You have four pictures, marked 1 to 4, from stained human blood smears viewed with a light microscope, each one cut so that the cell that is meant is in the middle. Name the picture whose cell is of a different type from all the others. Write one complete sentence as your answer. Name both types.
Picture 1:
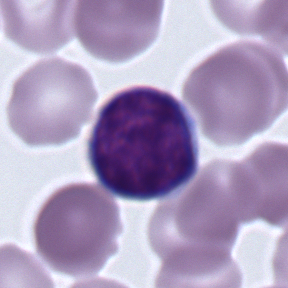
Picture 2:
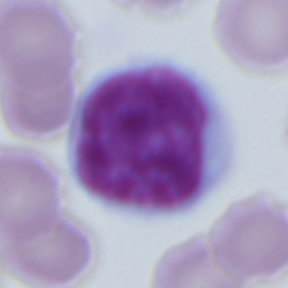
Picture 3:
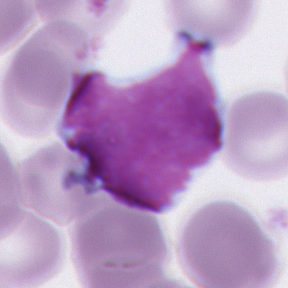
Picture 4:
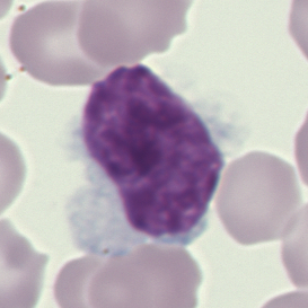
The others show typical lymphocytes, but picture 4 shows a hairy cell.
